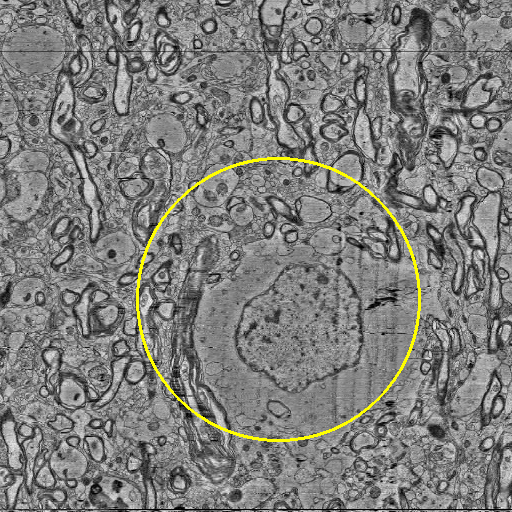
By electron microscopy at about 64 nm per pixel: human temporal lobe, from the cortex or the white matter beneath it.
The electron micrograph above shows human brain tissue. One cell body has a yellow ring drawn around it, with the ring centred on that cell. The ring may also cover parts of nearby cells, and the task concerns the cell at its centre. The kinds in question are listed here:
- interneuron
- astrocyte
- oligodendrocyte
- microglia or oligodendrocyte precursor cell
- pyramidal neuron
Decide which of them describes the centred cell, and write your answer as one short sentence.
The centred cell is an astrocyte.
